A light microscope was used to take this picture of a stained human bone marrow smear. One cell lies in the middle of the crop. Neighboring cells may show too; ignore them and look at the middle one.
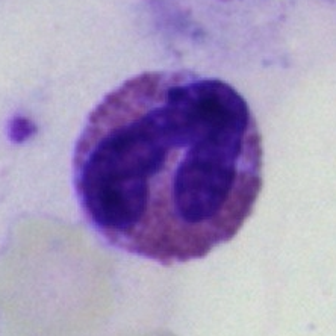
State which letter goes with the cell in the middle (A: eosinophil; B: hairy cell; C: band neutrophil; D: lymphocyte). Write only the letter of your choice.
A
